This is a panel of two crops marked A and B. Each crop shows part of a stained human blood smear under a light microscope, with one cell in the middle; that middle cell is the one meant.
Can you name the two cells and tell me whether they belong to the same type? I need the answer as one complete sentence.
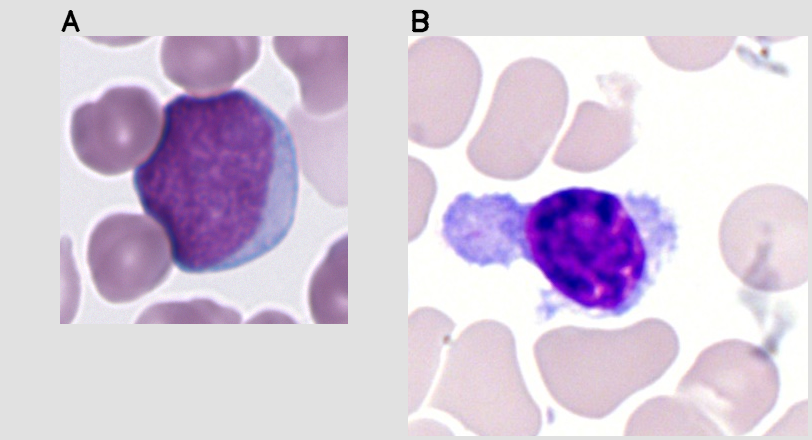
No, the labels go like this: crop A is a blast and crop B is a lymphocyte.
